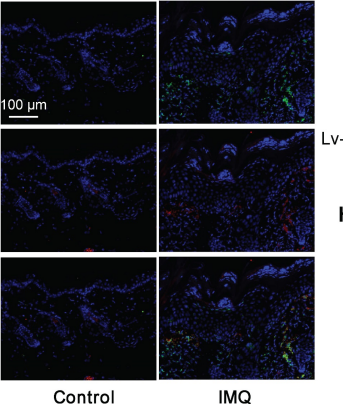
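These are sections of skin seen in fluorescence, arranged as a grid of three rows and two columns. Nuclei show blue throughout, and along the top runs a wavy, densely packed band of nuclei that forms the surface layer. Below it lies looser tissue with more scattered nuclei. Small green dots are spread through the deeper tissue, and there are far more of them in the right-hand column than in the left. Red dots are sparse and also appear mostly in the right-hand images, and in the merged row some of them sit close to green dots.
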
